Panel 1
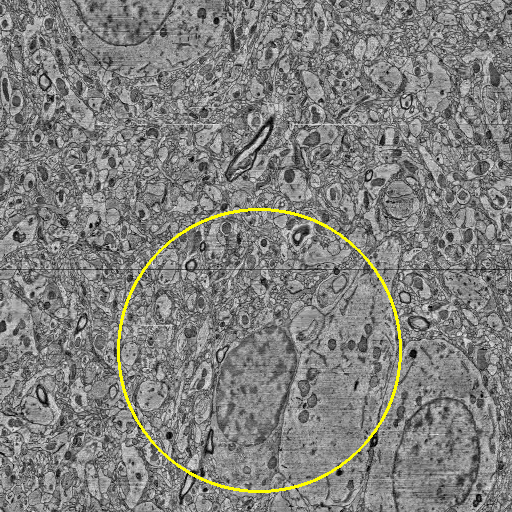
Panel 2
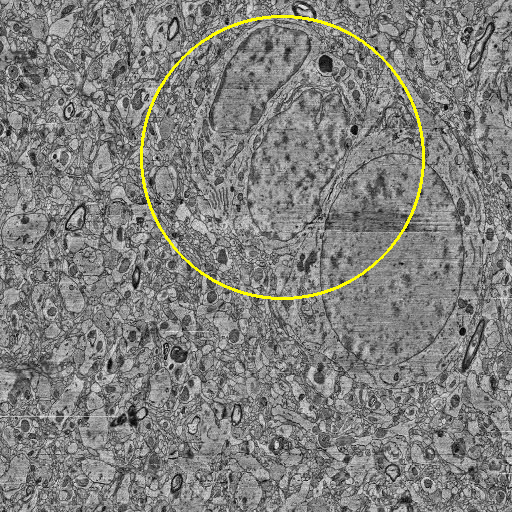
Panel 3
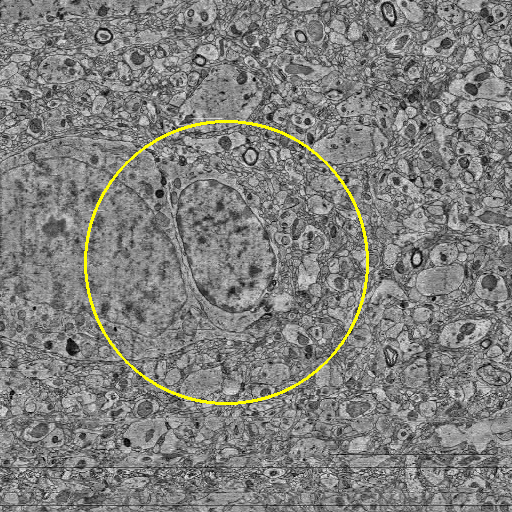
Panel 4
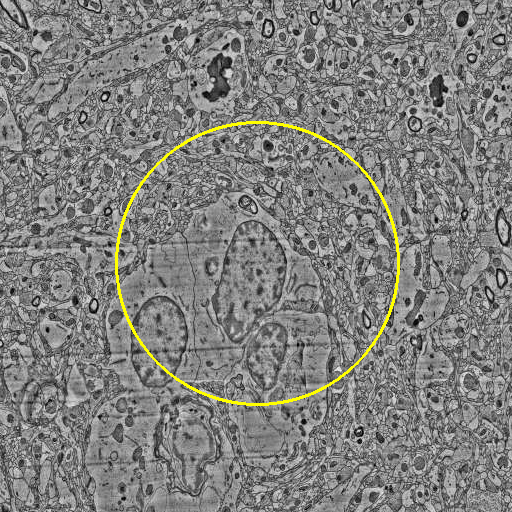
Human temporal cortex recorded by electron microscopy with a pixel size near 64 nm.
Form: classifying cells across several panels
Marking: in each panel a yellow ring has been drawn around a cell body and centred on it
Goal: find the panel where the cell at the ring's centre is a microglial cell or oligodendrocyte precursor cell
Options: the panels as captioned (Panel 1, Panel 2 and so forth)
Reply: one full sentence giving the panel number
Panel 3 shows the wanted cell at the centre of its ring.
